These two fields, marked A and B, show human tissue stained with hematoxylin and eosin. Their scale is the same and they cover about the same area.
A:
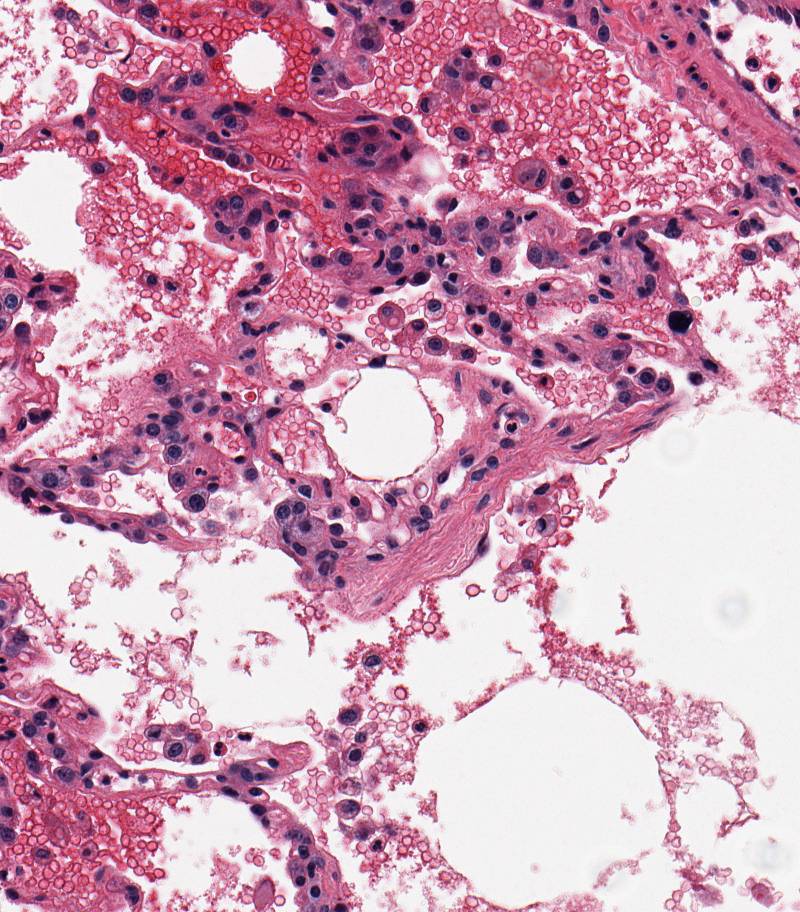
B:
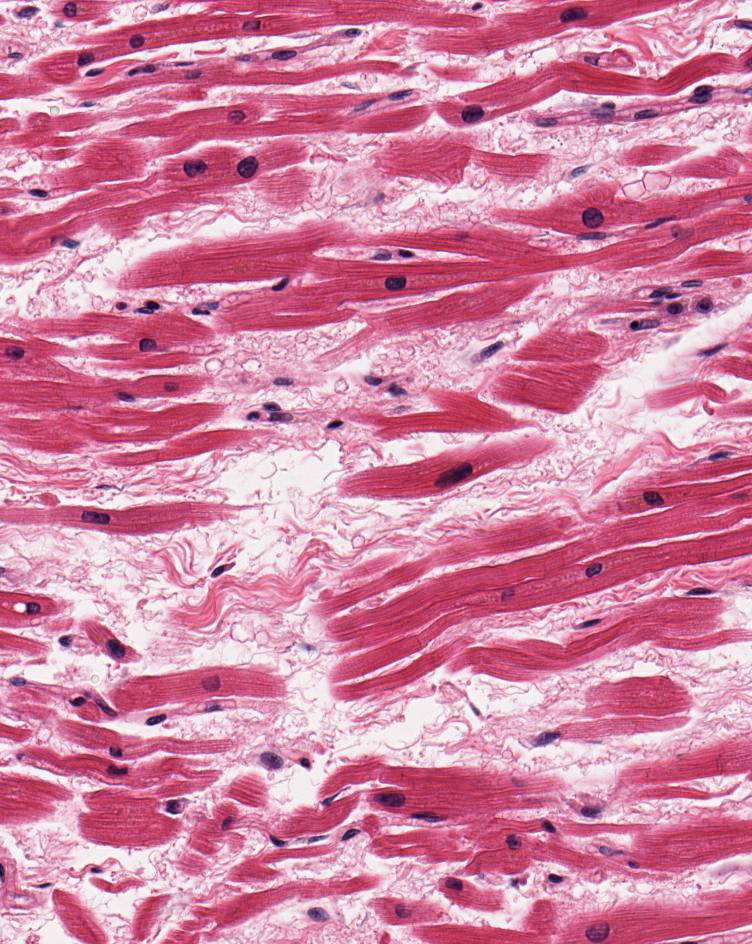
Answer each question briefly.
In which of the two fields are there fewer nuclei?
B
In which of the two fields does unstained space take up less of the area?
B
